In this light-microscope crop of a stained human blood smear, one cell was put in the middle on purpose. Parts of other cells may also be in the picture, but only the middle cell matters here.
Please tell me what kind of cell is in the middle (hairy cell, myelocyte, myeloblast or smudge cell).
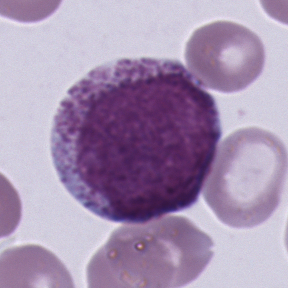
myelocyte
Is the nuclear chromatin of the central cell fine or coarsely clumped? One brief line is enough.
No coarse chromatin clumps are present; the pattern is fine.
